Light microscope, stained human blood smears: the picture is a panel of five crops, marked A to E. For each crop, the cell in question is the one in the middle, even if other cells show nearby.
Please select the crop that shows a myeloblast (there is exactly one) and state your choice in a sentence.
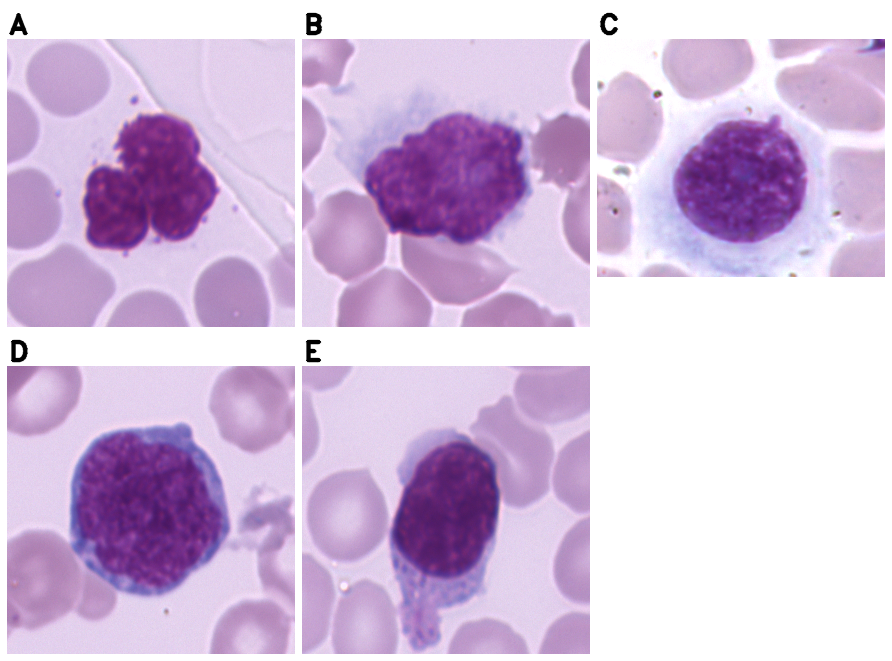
Of the labeled crops, the one with a myeloblast is crop D.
